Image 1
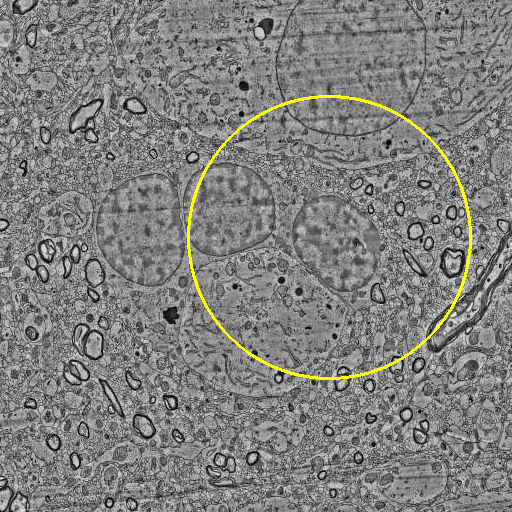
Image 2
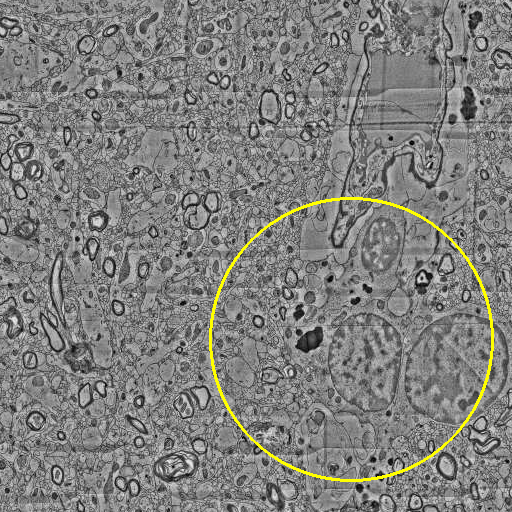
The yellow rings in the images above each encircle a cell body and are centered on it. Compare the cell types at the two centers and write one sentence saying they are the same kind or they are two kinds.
Taken together, the two cells at the ring centers are the same kind.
